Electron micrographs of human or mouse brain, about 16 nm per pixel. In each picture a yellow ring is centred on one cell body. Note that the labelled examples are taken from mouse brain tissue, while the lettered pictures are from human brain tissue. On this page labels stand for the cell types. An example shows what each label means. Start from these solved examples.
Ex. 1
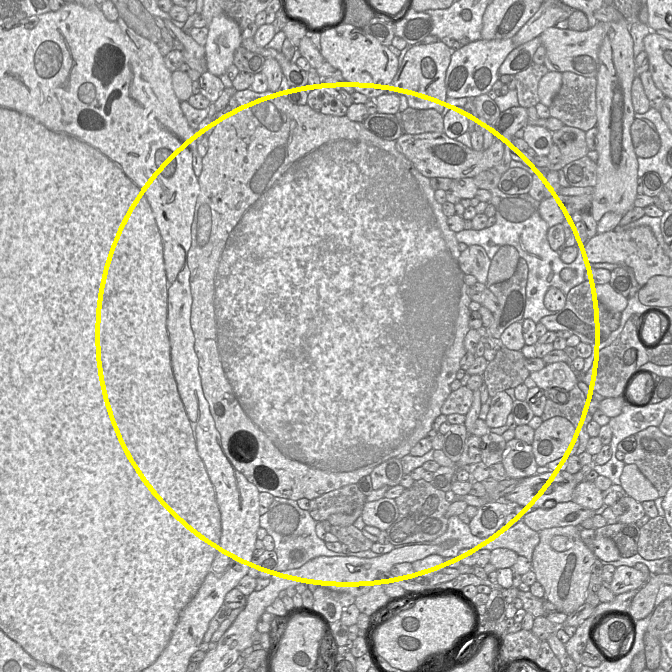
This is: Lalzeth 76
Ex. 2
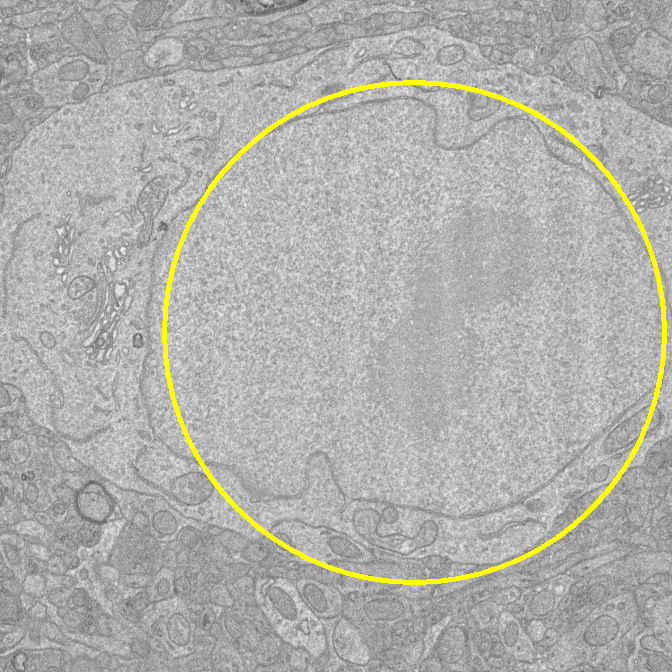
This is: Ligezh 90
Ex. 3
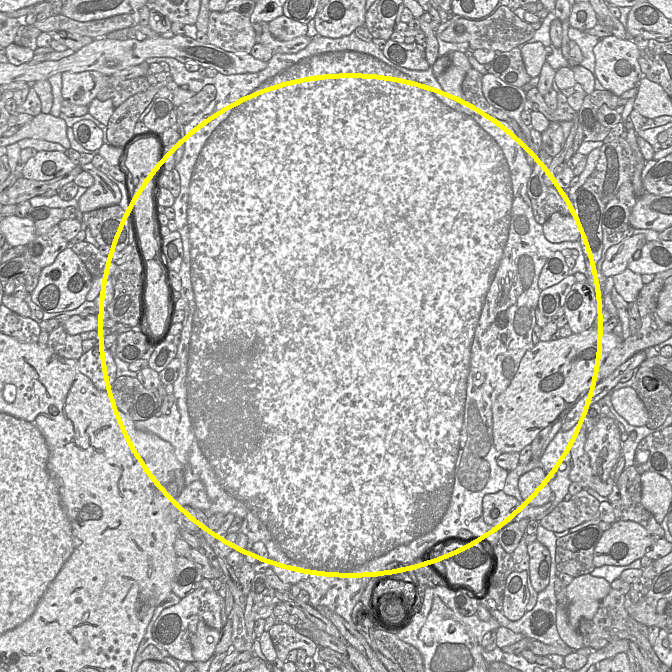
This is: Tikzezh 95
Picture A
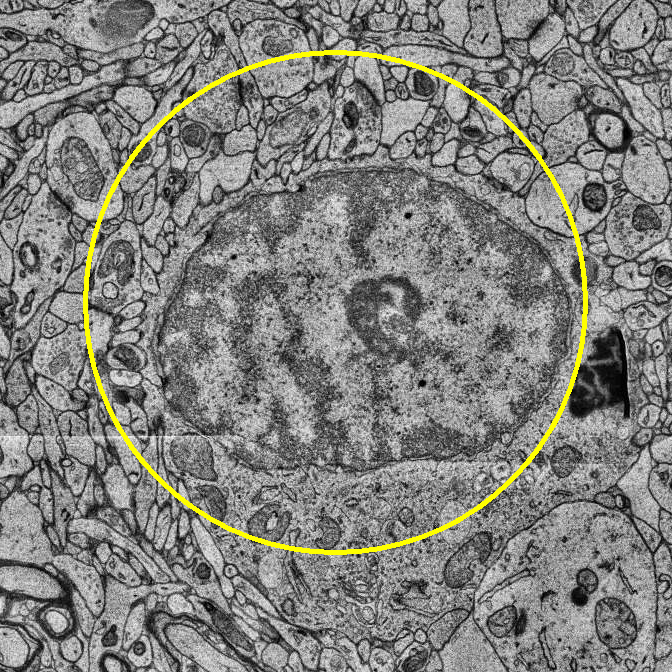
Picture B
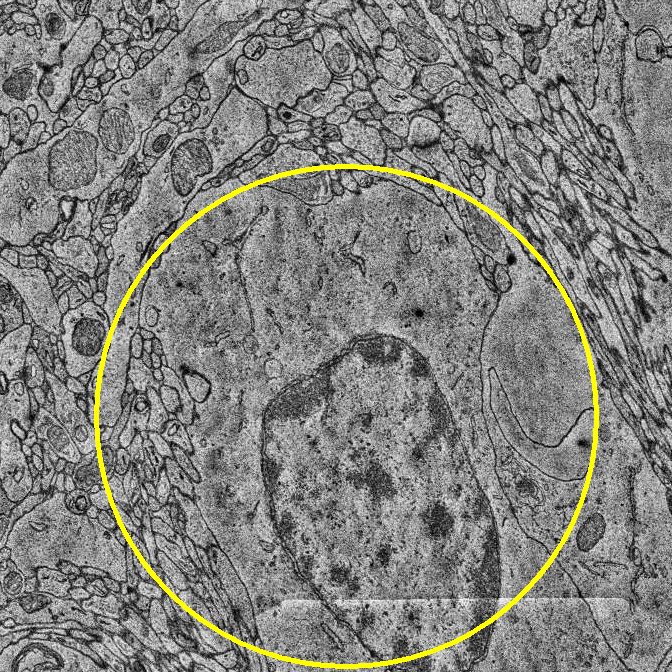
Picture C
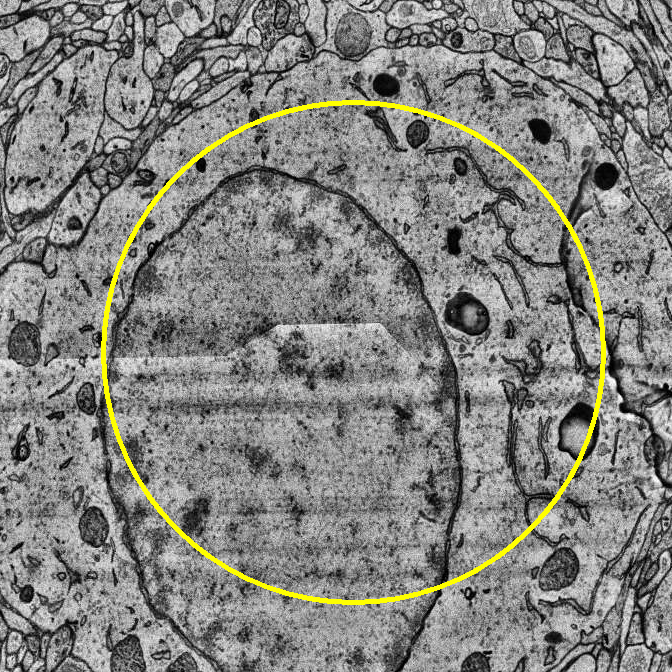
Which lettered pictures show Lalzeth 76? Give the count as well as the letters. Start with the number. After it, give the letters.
1, namely A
